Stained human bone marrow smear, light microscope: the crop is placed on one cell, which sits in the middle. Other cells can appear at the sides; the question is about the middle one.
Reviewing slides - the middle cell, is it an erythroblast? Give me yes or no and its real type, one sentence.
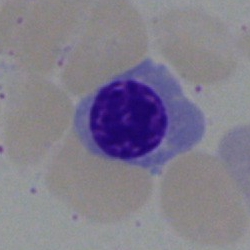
Yes, it is an erythroblast that occupies the centre of the crop.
